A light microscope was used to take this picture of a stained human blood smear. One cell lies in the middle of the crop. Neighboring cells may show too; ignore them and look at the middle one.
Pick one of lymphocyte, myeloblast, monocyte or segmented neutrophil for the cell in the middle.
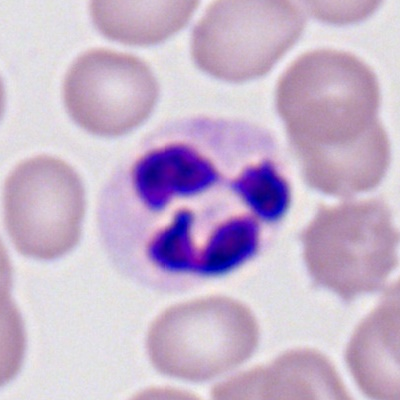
segmented neutrophil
